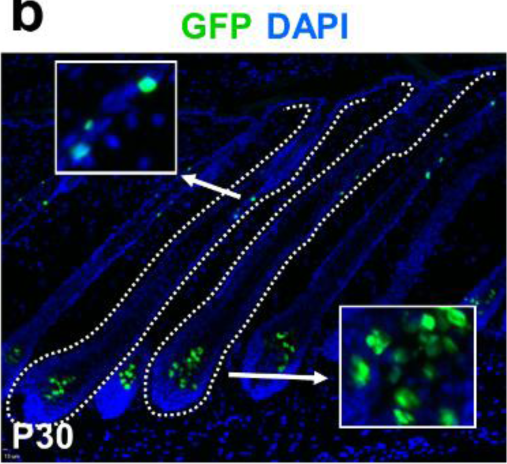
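These are several hair follicles cut lengthwise, each outlined by a dotted line, slanting from the surface down to a rounded bulb. Blue nuclei mark the packed cells of the follicles and the surrounding skin. In each bulb a cluster of bright green, irregular cells sits, shown enlarged in the lower box.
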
